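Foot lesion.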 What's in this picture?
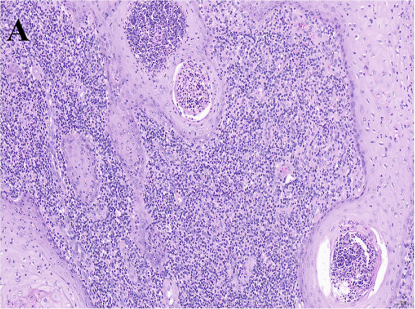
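This is a proliferation of squamous epithelium with a heavy inflammatory infiltrate between its strands. Broad pale pink bands of well-differentiated squamous cells run through the field, with the most pink, glassy epithelium at the right edge. The spaces between these bands are crowded with small dark-nucleated inflammatory cells. Several rounded pockets are lined by pink keratin and hold clusters of inflammatory cells inside them. The overall pattern is of epithelium mixed intimately with a dense cellular infiltrate.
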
